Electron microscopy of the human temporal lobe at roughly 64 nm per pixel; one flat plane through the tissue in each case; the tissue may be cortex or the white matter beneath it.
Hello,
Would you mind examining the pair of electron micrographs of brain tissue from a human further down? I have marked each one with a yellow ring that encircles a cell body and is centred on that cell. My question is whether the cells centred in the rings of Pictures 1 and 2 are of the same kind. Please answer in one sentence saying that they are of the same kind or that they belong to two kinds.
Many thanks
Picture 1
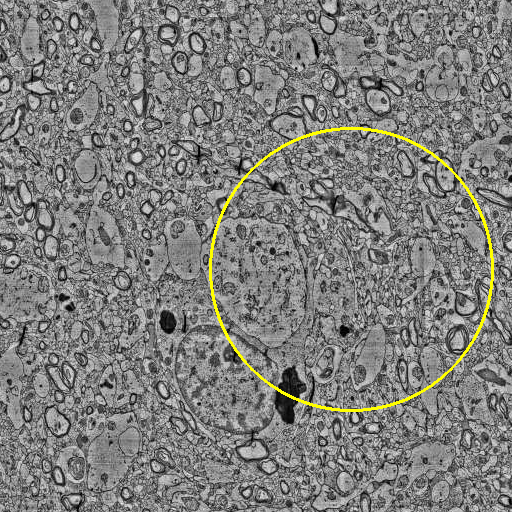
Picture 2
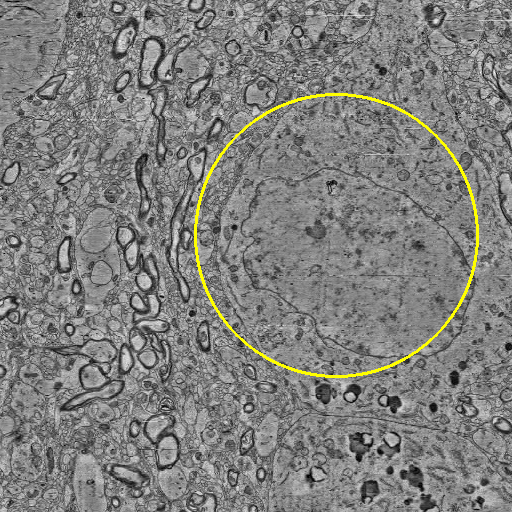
In Pictures 1 and 2, the cells at the heart of the rings belong to two kinds.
